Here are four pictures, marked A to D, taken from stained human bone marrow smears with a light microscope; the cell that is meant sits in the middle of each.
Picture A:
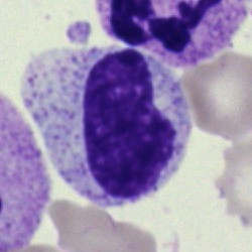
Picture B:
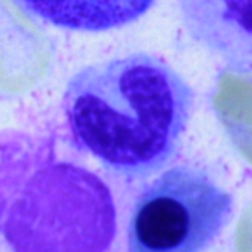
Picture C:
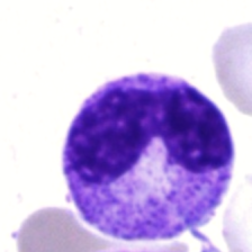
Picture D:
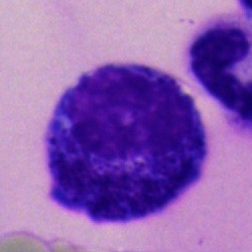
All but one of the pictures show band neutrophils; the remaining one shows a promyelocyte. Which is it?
D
